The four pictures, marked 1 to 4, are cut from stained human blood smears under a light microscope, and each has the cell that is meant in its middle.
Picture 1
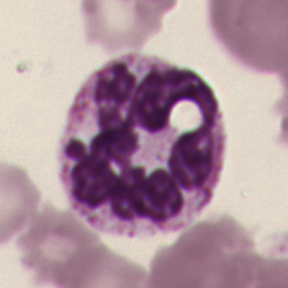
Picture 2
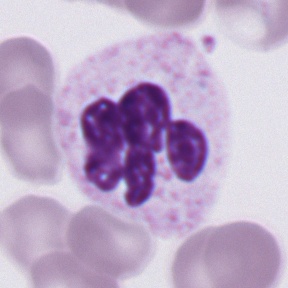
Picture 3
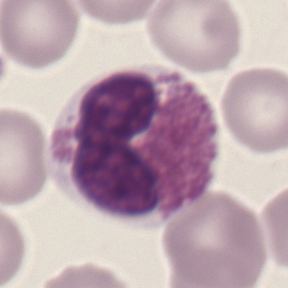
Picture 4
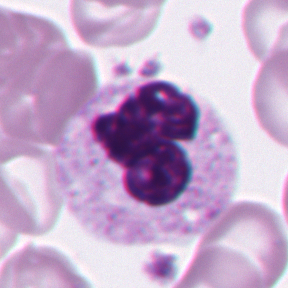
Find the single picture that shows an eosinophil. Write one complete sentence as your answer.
The cell in picture 3 is the eosinophil.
